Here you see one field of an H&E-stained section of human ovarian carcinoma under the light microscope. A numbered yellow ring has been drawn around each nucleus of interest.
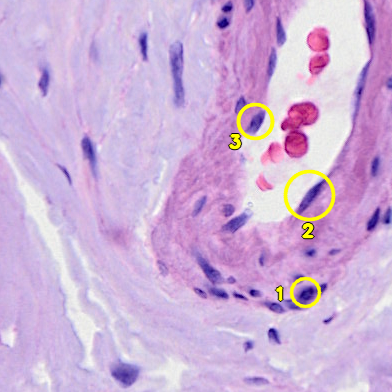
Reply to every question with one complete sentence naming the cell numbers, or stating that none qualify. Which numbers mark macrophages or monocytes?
Concerning the numbered cells, no macrophages or monocytes are among them.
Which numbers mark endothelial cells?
The numbers 2 and 3 in this section indicate endothelial cells.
